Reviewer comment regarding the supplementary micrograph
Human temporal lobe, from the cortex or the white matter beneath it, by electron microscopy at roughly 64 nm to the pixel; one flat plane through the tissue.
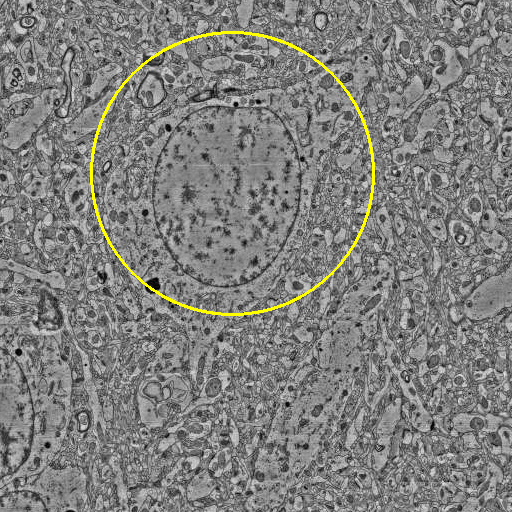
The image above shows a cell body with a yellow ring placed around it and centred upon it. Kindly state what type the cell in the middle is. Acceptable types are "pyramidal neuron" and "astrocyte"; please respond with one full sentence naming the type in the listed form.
In the image above, the cell on which the yellow ring is centred is a pyramidal neuron.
